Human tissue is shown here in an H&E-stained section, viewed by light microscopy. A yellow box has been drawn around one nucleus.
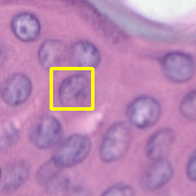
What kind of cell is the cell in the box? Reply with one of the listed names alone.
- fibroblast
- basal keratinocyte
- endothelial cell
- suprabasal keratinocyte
suprabasal keratinocyte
